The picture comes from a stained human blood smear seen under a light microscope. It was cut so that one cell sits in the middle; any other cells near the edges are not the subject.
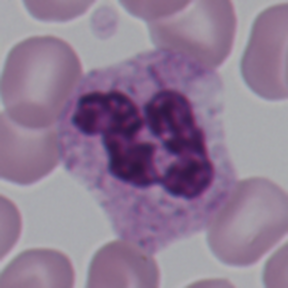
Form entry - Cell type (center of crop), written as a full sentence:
The cell at the heart of this crop is a segmented neutrophil.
